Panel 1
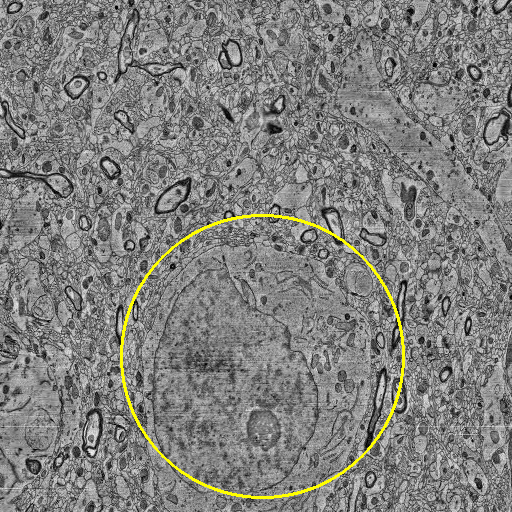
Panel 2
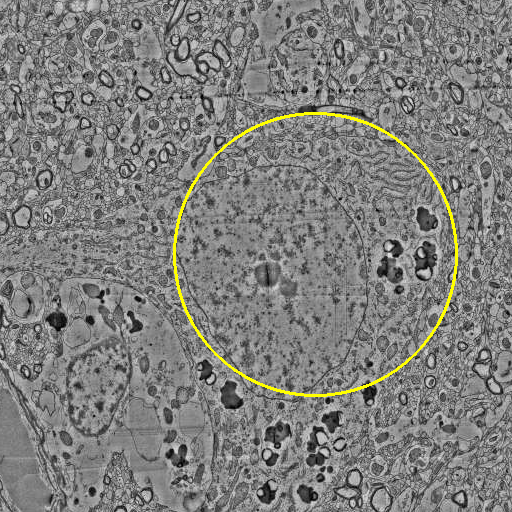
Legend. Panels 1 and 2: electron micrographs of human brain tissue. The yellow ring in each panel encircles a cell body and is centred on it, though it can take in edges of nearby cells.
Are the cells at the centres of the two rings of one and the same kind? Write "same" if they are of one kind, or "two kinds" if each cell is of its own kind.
two kinds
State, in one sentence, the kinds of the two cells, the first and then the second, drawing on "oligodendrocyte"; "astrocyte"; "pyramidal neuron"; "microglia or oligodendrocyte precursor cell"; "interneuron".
The ring in the second picture is centred on a pyramidal neuron, the ring in the first on an interneuron.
